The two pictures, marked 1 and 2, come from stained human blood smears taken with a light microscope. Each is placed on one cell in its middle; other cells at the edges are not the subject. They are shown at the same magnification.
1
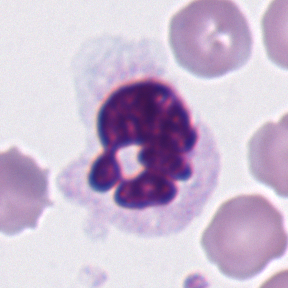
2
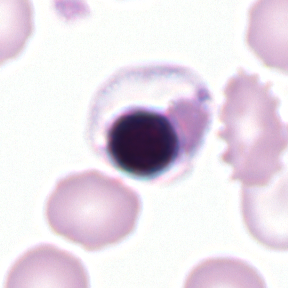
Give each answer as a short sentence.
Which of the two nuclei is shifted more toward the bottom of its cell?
The nucleus in crop 2 lies further toward the bottom of its cell.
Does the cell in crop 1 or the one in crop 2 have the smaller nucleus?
The nucleus in crop 2 is smaller; the one in crop 1 has about 3 times its area.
